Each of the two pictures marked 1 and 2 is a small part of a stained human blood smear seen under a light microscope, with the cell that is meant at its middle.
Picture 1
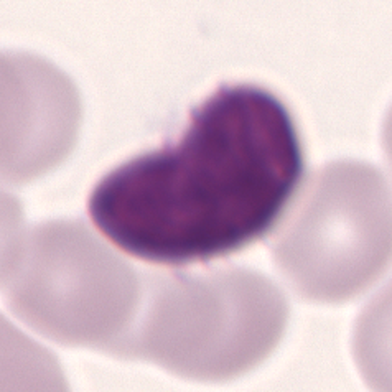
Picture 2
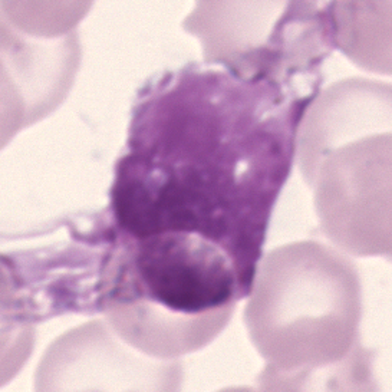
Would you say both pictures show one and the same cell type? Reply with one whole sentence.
Yes, both are smudge cells.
